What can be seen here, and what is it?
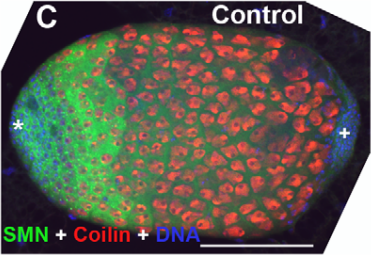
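This is a larval testis seen whole, with its germ cells laid out from one rounded tip to the other. At the apical tip, marked by the asterisk, small densely packed cells show mostly blue nuclei under green cytoplasm. The green fades from this end toward the far end. Through the middle and most of the organ runs a broad band of much larger spermatocytes, each with a big rounded red nucleus, spaced fairly evenly. At the far end, marked by the plus sign, small blue nuclei again crowd together without red, forming the terminal cells.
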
